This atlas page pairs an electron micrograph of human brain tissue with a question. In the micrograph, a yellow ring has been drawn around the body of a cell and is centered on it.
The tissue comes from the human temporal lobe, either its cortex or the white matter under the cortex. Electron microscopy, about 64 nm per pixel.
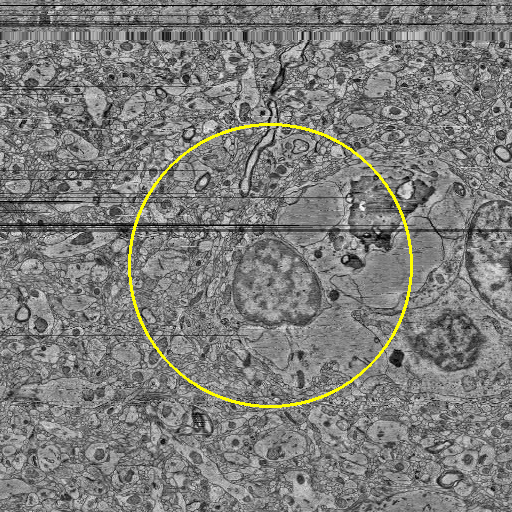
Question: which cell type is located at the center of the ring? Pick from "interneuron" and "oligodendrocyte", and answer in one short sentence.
Located at the center of the ring is an oligodendrocyte.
